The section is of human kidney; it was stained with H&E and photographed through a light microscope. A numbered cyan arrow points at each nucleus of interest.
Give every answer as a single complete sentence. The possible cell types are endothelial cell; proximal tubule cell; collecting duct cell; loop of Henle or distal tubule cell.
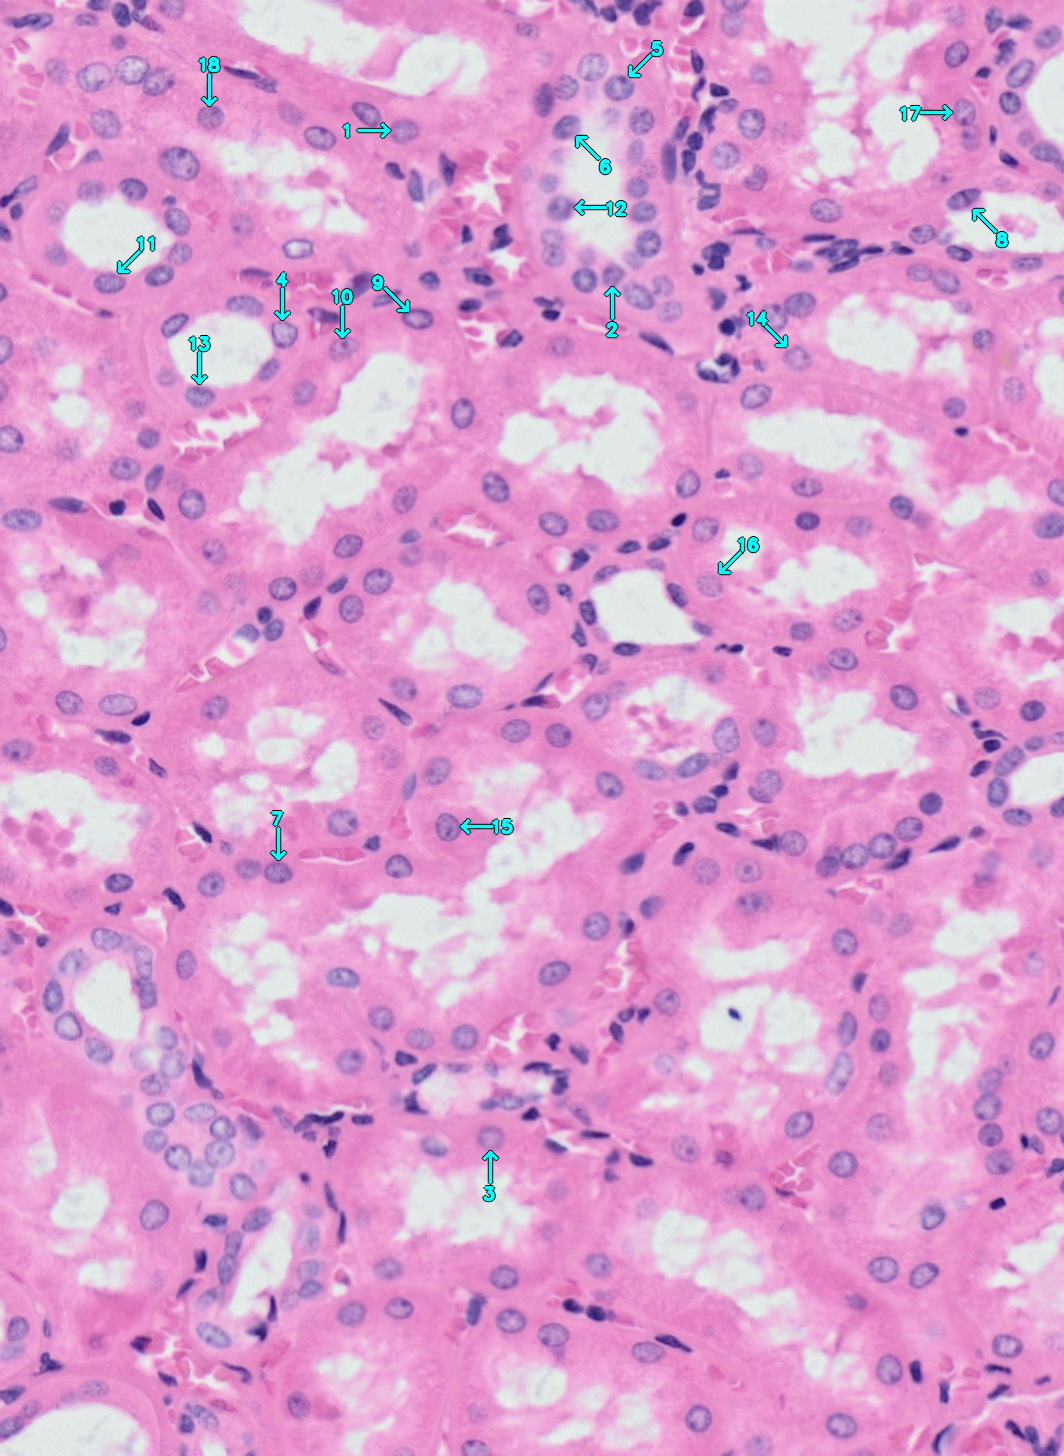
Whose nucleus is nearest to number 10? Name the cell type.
It is an endothelial cell whose nucleus is nearest to number 10.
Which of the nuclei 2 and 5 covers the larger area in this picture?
Nucleus 5 covers more area, about 1.5 times as much as nucleus 2.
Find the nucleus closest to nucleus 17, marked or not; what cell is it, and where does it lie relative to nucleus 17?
Just below nucleus 17 lies the nearest nucleus, which belongs to a proximal tubule cell.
